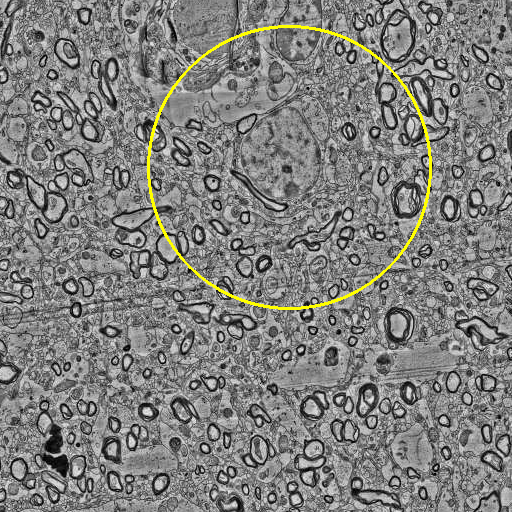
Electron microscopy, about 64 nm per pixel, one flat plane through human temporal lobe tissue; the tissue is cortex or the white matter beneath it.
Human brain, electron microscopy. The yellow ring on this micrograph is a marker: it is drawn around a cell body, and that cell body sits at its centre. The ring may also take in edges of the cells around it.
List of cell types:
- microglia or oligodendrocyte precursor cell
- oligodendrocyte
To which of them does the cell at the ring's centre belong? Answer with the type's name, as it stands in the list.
microglia or oligodendrocyte precursor cell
